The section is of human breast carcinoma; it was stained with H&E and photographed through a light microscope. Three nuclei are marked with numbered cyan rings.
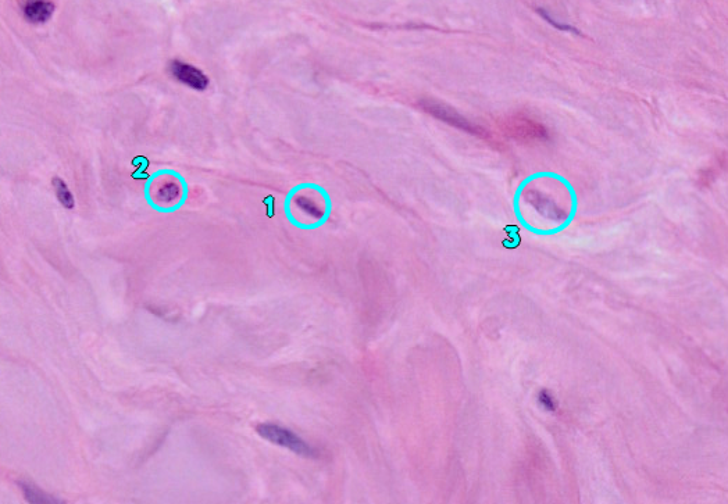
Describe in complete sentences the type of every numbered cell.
Cells 1 and 3 are fibroblasts. Cell 2 is a mast cell.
